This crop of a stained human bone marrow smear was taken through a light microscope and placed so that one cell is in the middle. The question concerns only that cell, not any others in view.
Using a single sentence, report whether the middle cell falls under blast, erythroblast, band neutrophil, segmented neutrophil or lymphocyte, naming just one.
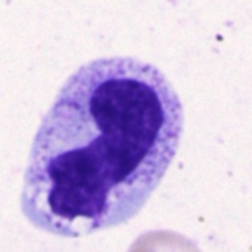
The cell centred in this crop is categorized as a band neutrophil.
